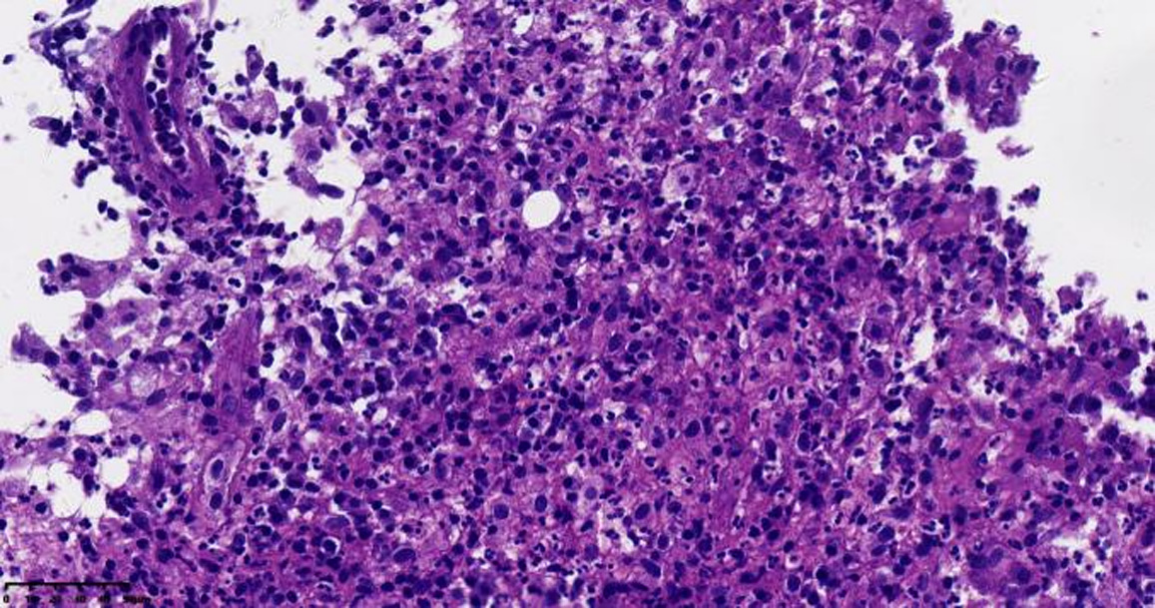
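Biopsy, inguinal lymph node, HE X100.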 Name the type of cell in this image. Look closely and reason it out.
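Inflammatory cells. The field is crowded with small cells with dark, round nuclei and scant cytoplasm. Some cells have lobed or segmented dark nuclei.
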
